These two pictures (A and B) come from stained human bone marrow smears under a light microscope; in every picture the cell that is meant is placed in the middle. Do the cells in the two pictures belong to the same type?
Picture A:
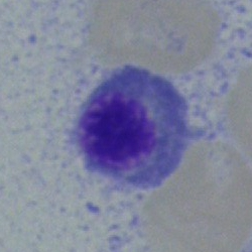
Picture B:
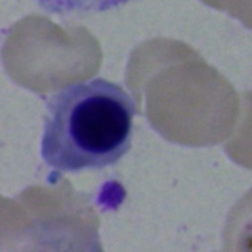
yes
